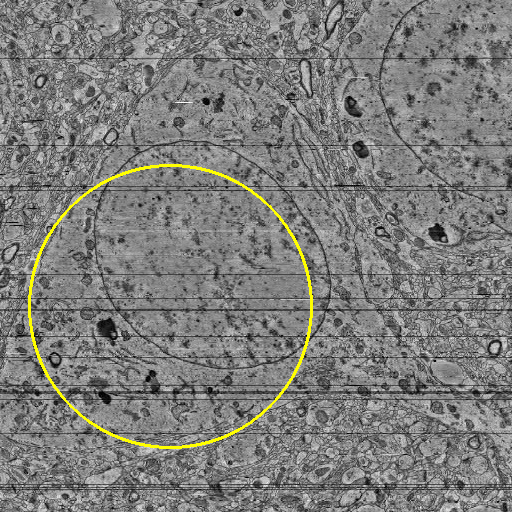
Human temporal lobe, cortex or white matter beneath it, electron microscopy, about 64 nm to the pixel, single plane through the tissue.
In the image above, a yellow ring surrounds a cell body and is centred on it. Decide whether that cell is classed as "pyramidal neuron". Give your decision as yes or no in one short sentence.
Yes, it is classed as that kind.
